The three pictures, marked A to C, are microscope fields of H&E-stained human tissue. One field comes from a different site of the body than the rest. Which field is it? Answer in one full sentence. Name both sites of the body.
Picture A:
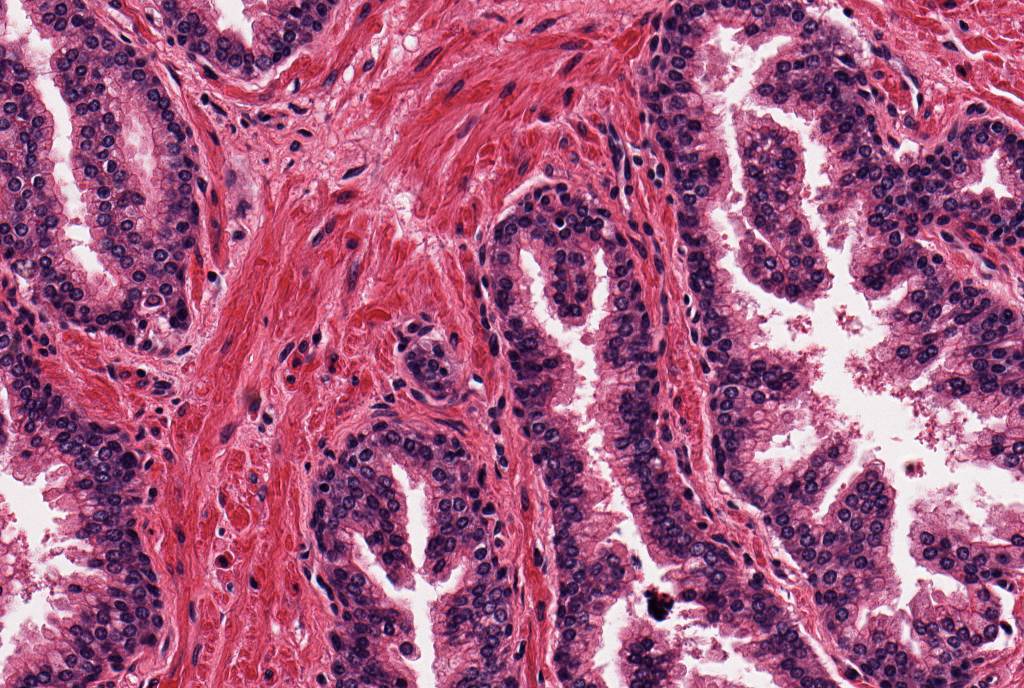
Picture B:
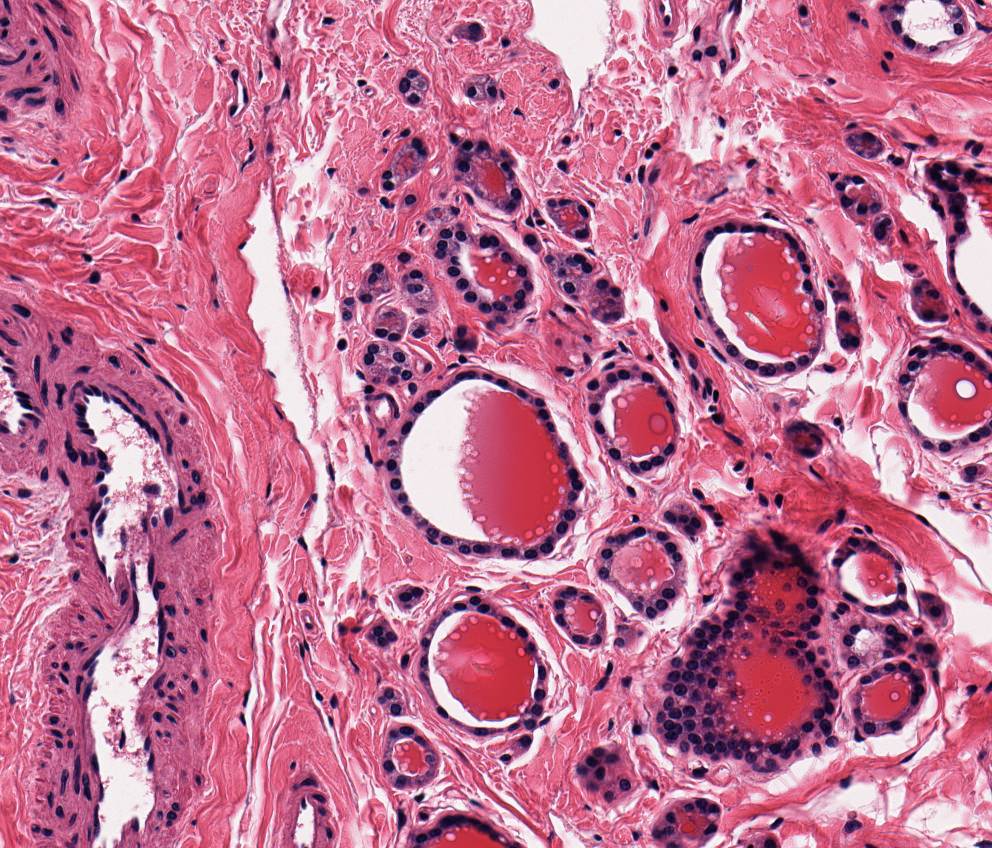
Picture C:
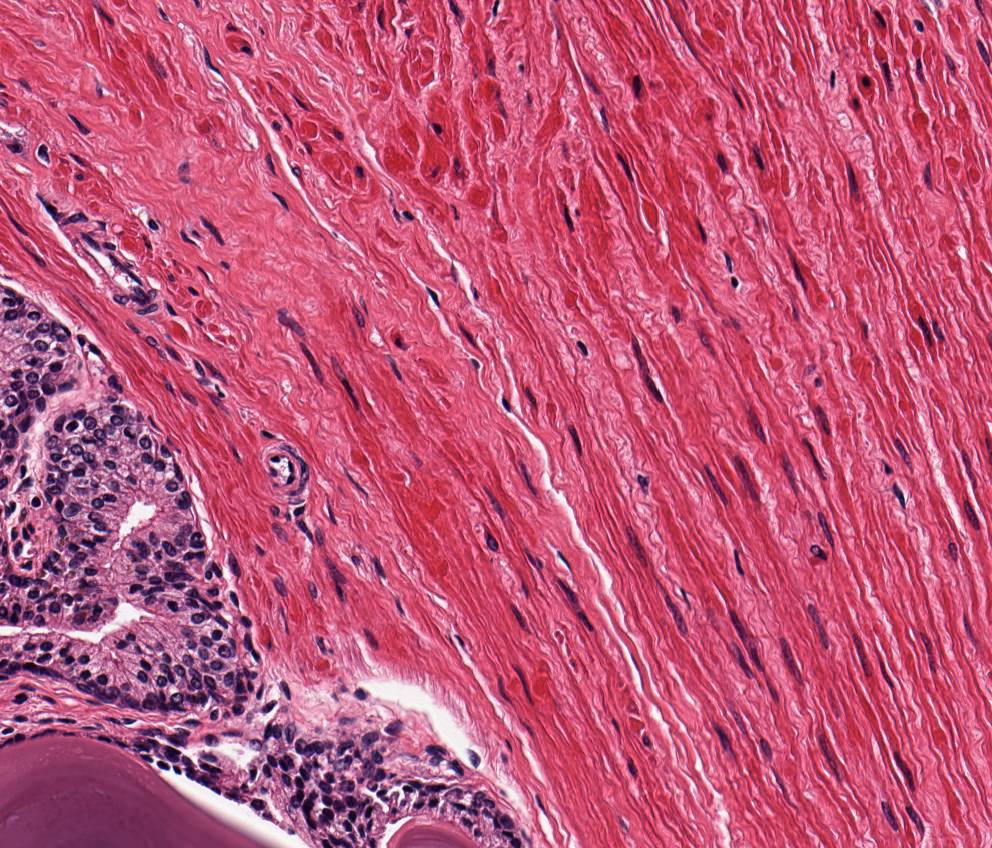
All pictures except B come from the prostate; picture B comes from the thyroid.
